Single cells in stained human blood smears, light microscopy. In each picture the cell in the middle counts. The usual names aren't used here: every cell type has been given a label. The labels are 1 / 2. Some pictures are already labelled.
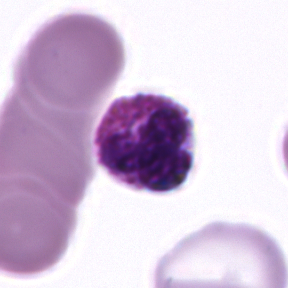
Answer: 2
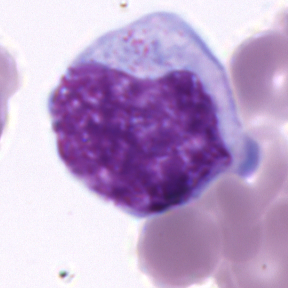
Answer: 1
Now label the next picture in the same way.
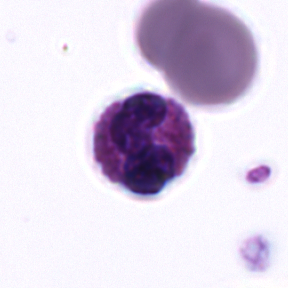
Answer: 2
